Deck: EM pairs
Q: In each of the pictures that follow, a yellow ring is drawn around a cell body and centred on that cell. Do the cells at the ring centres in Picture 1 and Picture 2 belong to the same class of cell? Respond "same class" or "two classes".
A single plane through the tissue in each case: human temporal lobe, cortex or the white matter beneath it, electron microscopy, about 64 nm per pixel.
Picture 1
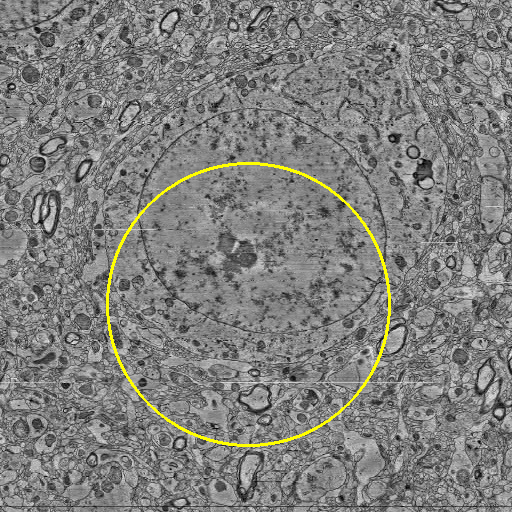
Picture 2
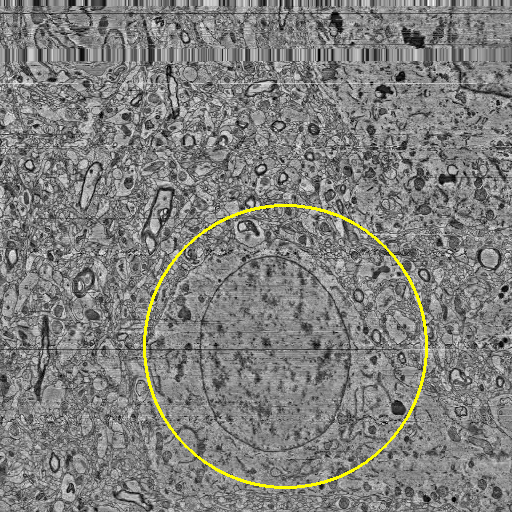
same class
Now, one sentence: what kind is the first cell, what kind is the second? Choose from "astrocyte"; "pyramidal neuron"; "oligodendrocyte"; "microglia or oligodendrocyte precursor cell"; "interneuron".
In each picture the ringed cell is a pyramidal neuron.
